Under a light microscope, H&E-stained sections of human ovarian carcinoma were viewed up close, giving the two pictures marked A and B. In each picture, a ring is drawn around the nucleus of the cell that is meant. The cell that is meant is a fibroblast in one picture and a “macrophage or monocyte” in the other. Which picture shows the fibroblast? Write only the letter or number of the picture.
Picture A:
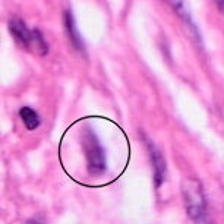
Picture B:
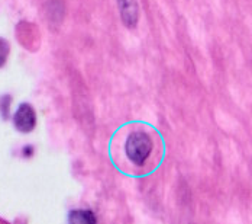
A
